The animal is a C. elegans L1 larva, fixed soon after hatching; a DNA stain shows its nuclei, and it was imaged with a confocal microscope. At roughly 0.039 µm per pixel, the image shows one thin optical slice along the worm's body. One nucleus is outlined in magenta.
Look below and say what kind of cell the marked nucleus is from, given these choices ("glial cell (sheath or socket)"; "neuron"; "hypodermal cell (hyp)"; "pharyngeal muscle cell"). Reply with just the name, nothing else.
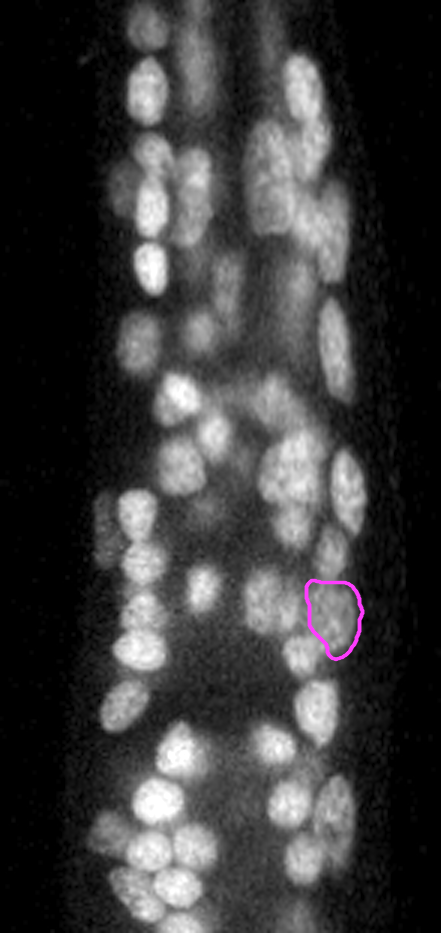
hypodermal cell (hyp)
